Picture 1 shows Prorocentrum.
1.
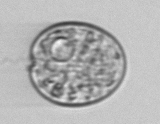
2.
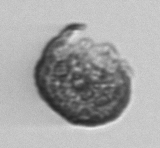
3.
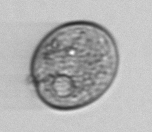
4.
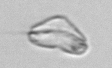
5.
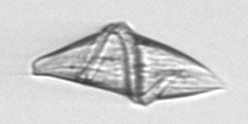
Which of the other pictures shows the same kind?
Picture 3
